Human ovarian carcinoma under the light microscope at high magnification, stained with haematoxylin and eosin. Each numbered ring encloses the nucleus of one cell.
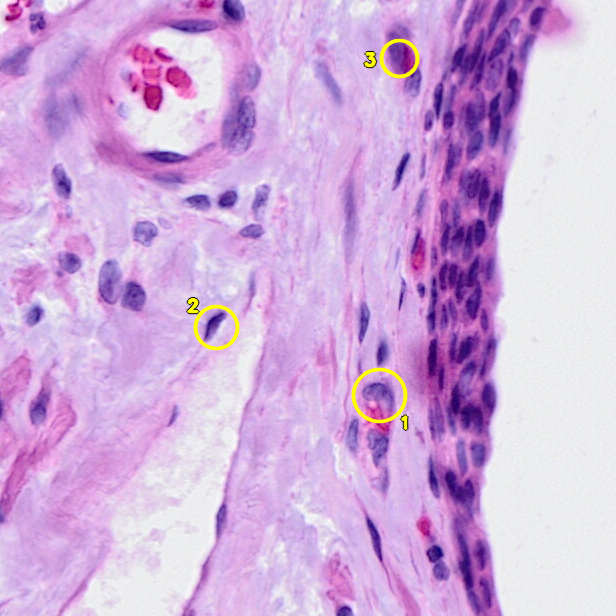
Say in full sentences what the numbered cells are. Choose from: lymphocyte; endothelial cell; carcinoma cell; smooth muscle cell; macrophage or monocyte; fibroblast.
Cells 1 and 3 are endothelial cells. Cell 2 is a fibroblast.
